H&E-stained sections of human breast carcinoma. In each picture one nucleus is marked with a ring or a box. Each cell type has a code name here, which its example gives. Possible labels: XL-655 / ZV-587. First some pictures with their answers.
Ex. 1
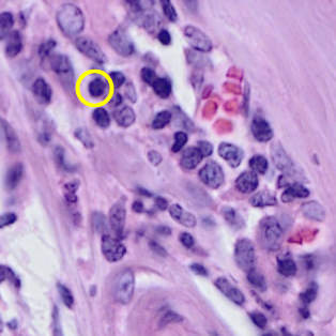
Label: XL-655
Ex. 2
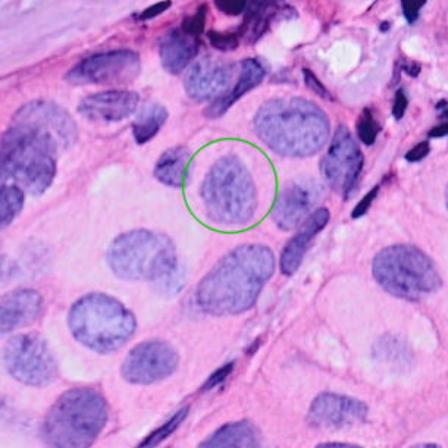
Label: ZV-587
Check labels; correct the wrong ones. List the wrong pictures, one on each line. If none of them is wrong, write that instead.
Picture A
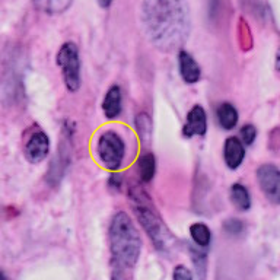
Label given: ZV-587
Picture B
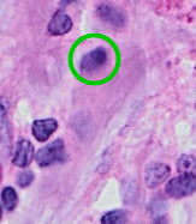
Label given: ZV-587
A should be XL-655, not ZV-587
B should be XL-655, not ZV-587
